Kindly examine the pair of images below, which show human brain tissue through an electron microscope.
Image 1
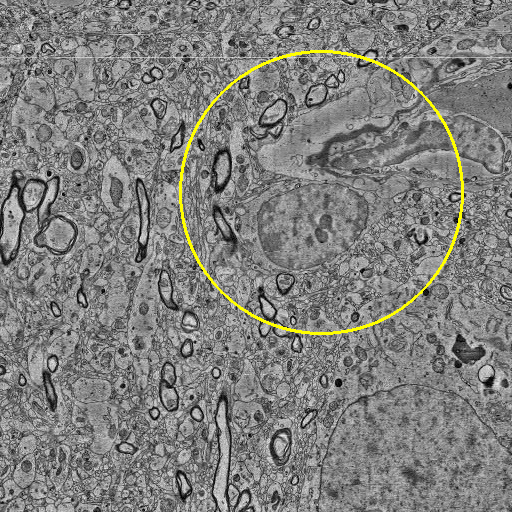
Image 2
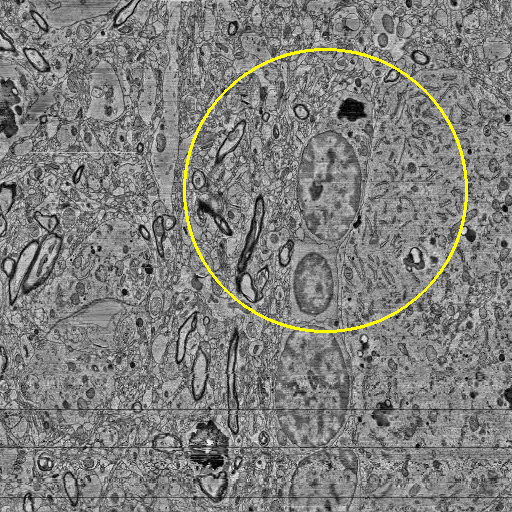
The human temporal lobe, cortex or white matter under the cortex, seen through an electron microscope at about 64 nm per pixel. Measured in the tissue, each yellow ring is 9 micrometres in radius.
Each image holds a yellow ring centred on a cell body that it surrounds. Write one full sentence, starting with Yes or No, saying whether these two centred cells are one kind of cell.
Yes, both cells at the centres of the yellow rings belong to one kind of cell.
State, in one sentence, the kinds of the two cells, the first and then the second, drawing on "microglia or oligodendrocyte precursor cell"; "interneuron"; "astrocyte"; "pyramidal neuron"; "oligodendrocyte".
Each cell, in the first picture and the second, is an oligodendrocyte.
